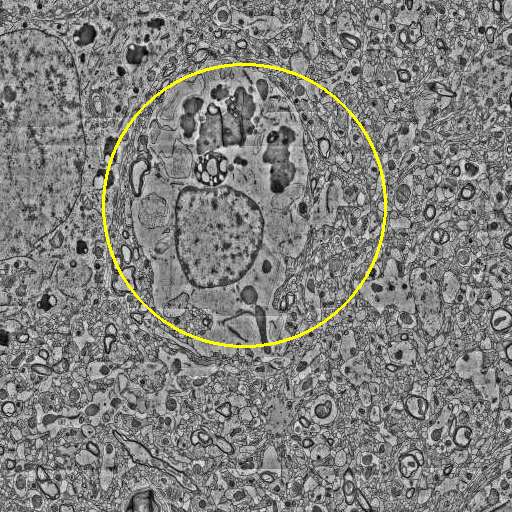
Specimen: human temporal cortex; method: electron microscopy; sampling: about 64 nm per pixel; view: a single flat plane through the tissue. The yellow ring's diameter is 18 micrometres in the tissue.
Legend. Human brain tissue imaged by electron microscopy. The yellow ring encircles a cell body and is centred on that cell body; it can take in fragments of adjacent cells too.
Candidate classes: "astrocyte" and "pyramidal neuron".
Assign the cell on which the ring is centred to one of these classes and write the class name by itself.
astrocyte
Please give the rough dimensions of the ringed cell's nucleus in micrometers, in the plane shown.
Roughly 7 by 6 micrometres is the size of the nucleus in this plane.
